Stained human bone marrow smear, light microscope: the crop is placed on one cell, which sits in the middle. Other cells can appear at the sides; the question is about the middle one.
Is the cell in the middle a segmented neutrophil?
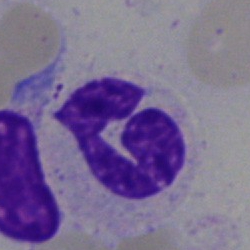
yes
